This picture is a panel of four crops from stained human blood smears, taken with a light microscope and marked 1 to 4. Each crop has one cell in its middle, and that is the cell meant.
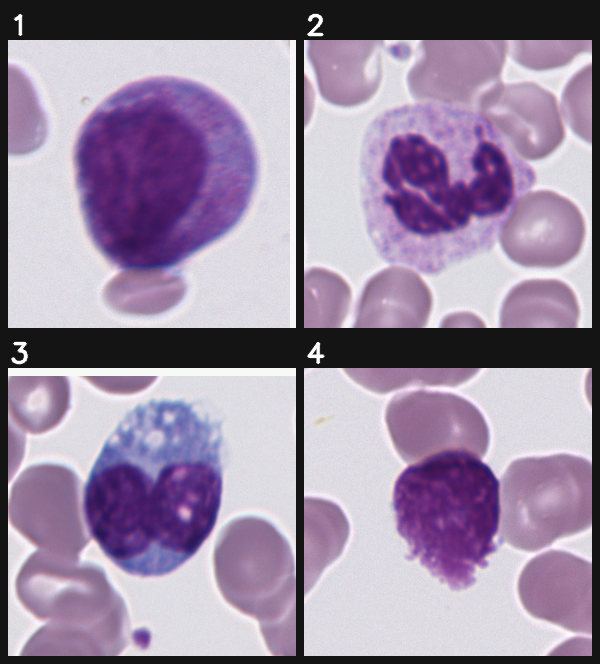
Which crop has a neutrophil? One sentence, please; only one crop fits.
Among the crops provided, a neutrophil occupies the center of crop 2.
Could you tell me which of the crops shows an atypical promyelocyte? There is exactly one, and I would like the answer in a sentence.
Crop 1, of the crops presented, is the one showing an atypical promyelocyte.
